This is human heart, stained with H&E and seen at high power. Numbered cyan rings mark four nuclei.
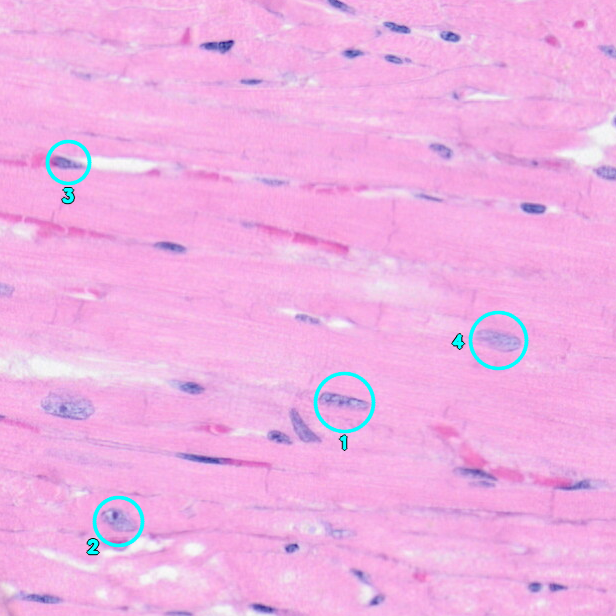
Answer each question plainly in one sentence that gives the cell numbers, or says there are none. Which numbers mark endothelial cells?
The cell bearing the number 3 is an endothelial cell, unlike the rest of the numbered cells.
